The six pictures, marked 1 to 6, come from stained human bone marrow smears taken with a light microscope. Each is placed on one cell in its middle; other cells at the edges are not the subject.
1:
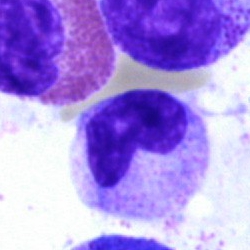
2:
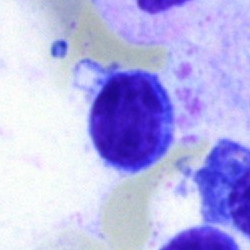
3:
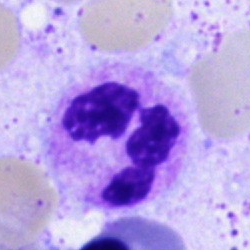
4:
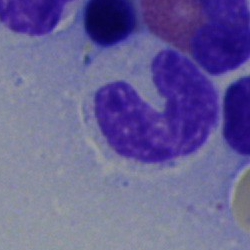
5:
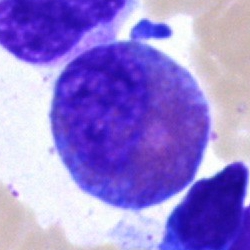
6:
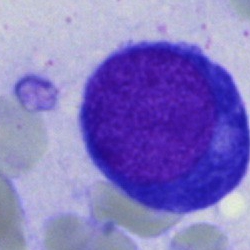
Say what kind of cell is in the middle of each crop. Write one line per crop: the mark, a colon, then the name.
1: band neutrophil
2: lymphocyte
3: segmented neutrophil
4: band neutrophil
5: eosinophil
6: proerythroblast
